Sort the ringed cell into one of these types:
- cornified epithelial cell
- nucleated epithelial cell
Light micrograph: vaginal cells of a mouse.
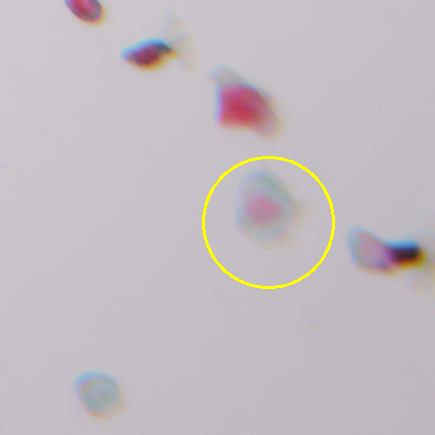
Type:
nucleated epithelial cell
